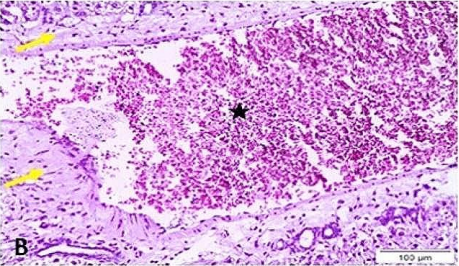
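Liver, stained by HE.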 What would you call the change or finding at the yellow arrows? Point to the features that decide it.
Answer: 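Pale pink fibrous bands surround the vessel wall. Elongated spindle-shaped nuclei lie in the thickened band.
Perivascular fibrosis.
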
